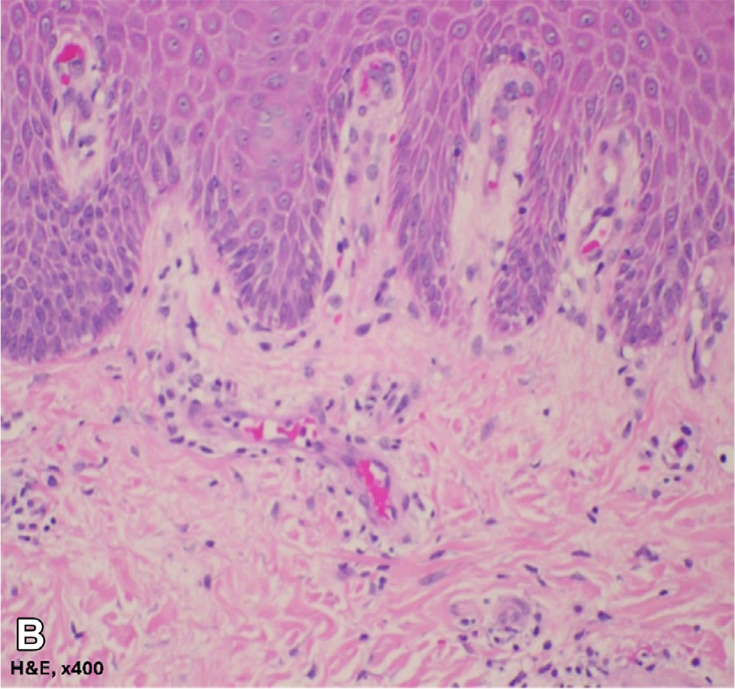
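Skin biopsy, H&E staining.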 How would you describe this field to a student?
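This high-power view of the lower epidermis and upper dermis shows rete ridges of keratinocytes with ovoid purple nuclei and pink cytoplasm. Narrow dermal papillae between the ridges hold small capillaries containing red blood cells. In the superficial dermis, small vessels are surrounded by small cells with round dark nuclei set in pale pink collagen.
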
